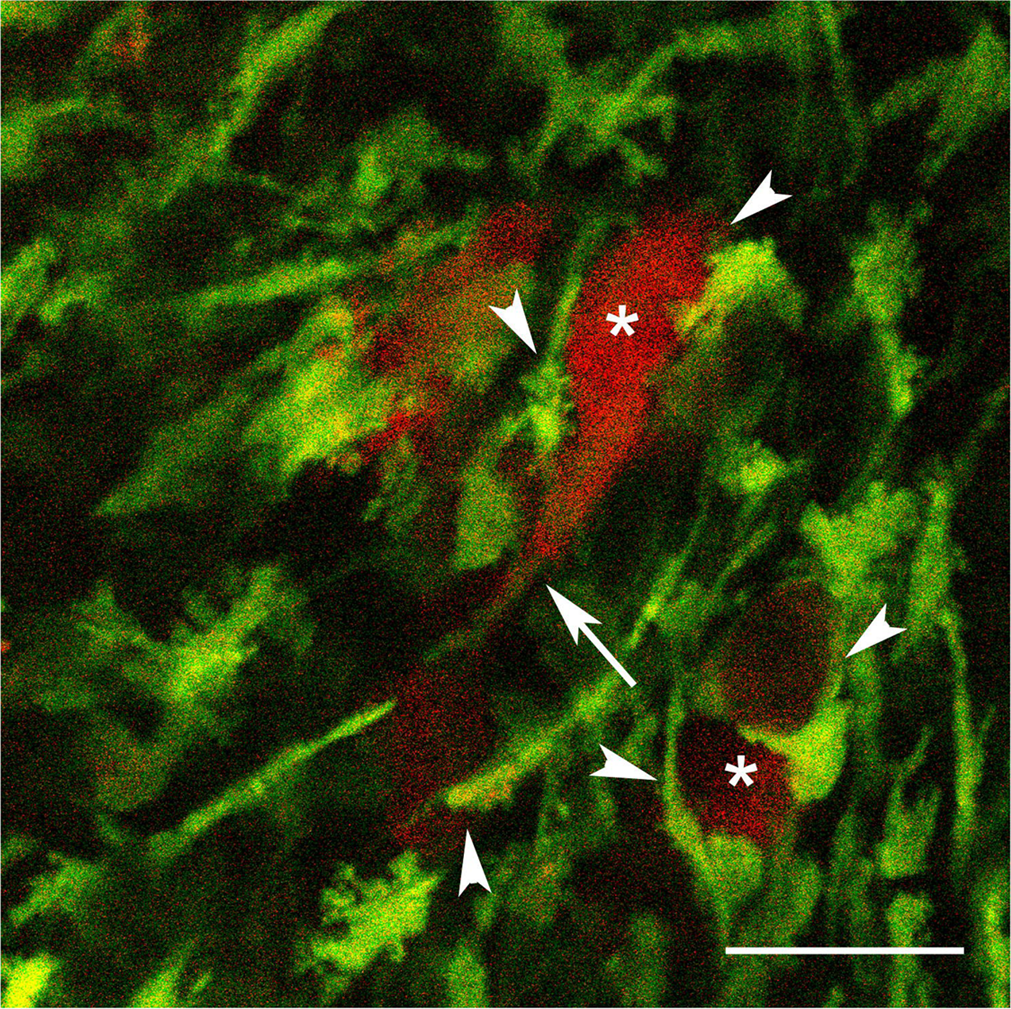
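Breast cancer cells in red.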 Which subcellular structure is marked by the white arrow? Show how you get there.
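The arrow points at a thin red extension running from a red cell body.
Elongate neurite-like processes.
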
